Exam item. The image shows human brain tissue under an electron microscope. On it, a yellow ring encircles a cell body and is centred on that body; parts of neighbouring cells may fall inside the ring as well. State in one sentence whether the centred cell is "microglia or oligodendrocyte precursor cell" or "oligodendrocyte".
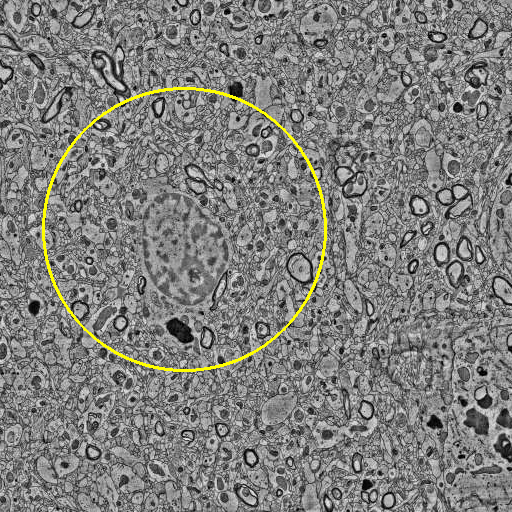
The cell body centred in the ring is an oligodendrocyte.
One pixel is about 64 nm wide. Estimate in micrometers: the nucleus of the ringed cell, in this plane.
In this plane the nucleus spans approximately 7 by 5 micrometers.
